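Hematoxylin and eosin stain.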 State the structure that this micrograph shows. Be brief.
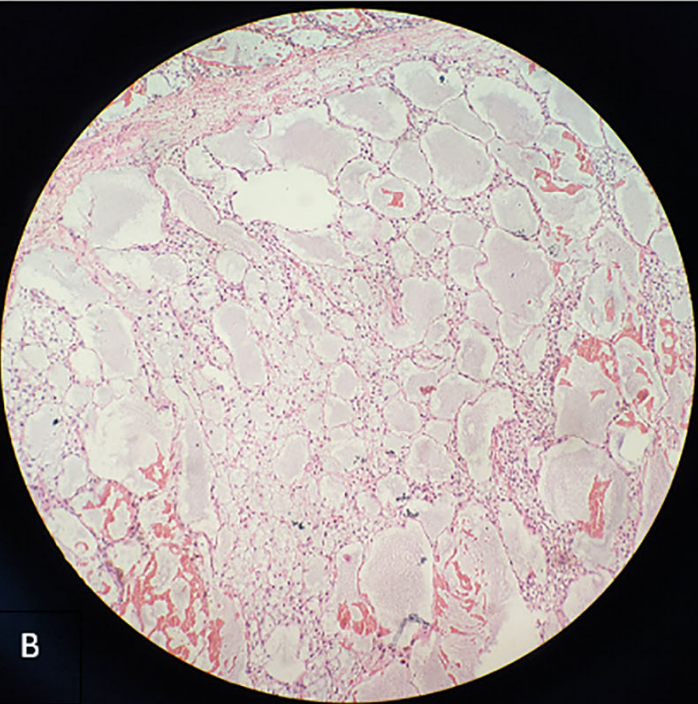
cystic dilated lymphatic vessels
